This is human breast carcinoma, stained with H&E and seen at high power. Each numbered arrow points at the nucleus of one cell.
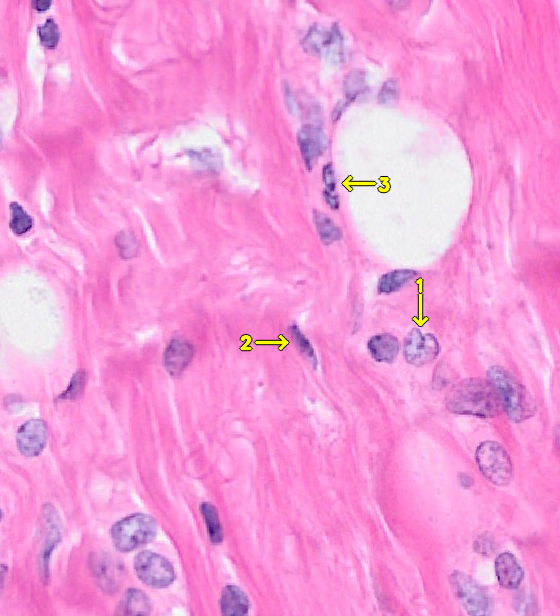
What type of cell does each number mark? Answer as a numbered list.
1. carcinoma cell
2. fibroblast
3. endothelial cell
